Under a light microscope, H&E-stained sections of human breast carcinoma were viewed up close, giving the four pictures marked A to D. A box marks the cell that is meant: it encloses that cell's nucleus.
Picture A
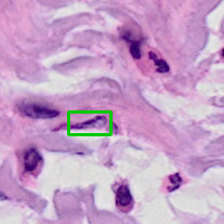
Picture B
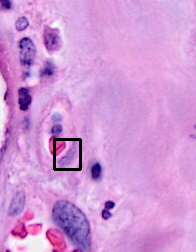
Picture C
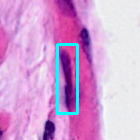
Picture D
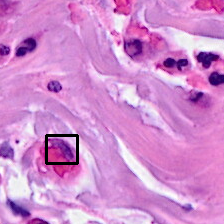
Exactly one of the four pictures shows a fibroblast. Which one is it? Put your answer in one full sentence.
The picture with the fibroblast is A.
